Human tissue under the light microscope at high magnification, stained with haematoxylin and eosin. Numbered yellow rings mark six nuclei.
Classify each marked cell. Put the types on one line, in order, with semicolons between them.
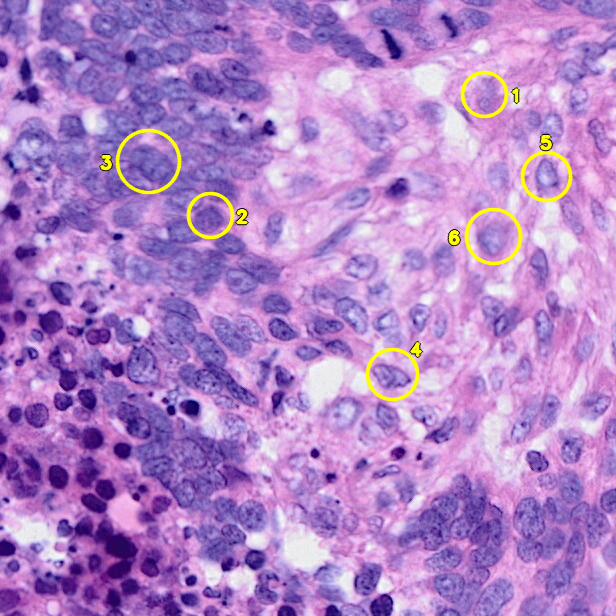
fibroblast; carcinoma cell; carcinoma cell; fibroblast; fibroblast; fibroblast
